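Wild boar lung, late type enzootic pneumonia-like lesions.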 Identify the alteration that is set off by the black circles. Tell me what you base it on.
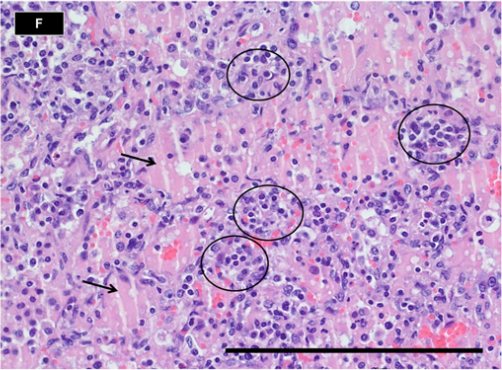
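Lympho-plasmacytic clusters. Small groups of round cells with dark round nuclei. The groups lie in the tissue between pink-filled spaces.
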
